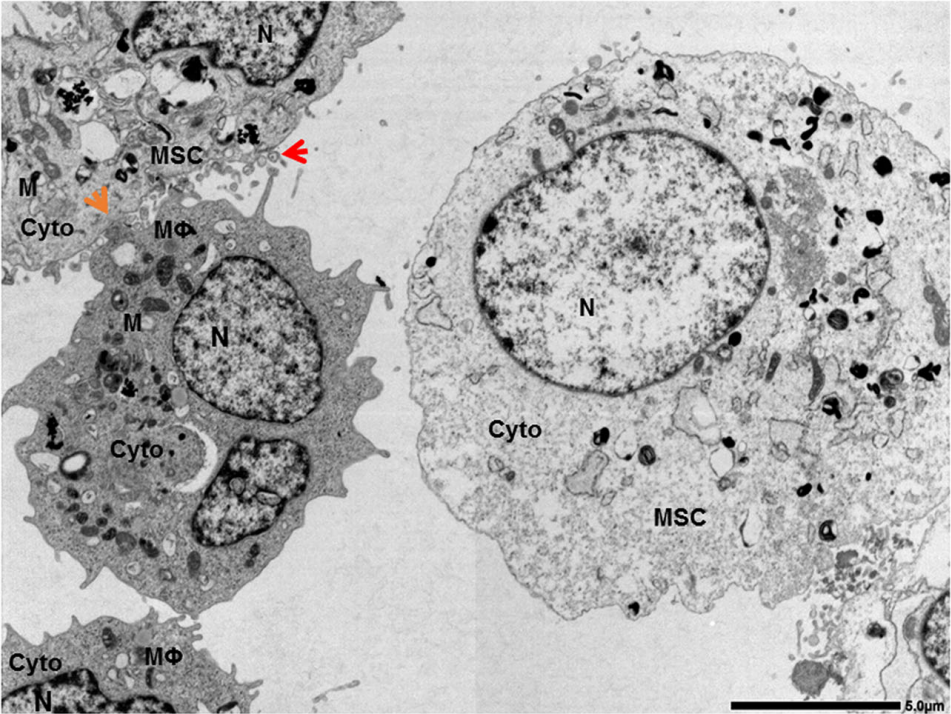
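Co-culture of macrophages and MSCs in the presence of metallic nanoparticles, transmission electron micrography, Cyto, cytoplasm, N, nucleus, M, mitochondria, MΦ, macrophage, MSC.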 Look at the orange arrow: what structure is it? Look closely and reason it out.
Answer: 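No gap is visible between the two cells at that point.
Conclusion: tight membrane contact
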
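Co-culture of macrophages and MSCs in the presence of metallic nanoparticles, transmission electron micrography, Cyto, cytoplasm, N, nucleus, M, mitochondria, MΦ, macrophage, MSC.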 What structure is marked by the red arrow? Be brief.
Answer: Extracellular vesicles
